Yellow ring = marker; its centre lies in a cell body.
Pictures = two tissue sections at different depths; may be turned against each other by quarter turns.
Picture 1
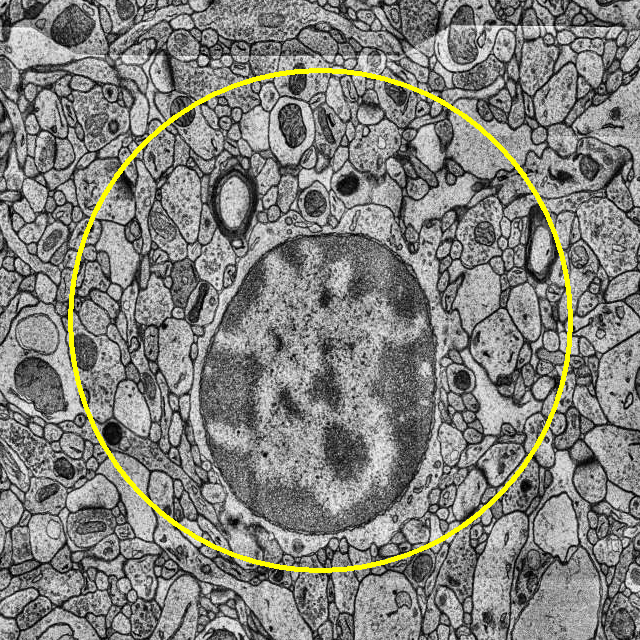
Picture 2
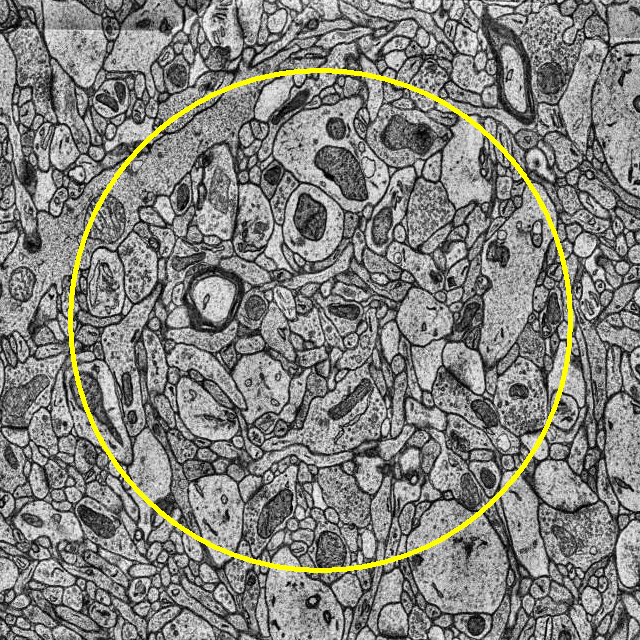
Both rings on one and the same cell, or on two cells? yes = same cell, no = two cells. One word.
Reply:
yes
